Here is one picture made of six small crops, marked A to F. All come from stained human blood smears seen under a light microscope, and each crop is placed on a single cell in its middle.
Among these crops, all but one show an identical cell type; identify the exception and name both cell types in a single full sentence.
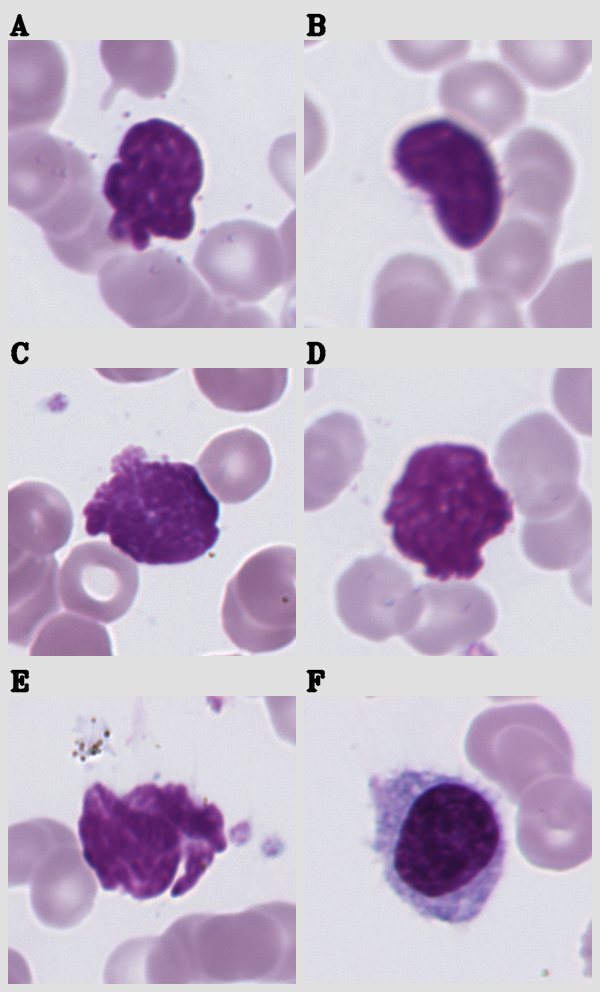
Crop F is the one to flag: it is a hairy cell, and the rest show smudge cells.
